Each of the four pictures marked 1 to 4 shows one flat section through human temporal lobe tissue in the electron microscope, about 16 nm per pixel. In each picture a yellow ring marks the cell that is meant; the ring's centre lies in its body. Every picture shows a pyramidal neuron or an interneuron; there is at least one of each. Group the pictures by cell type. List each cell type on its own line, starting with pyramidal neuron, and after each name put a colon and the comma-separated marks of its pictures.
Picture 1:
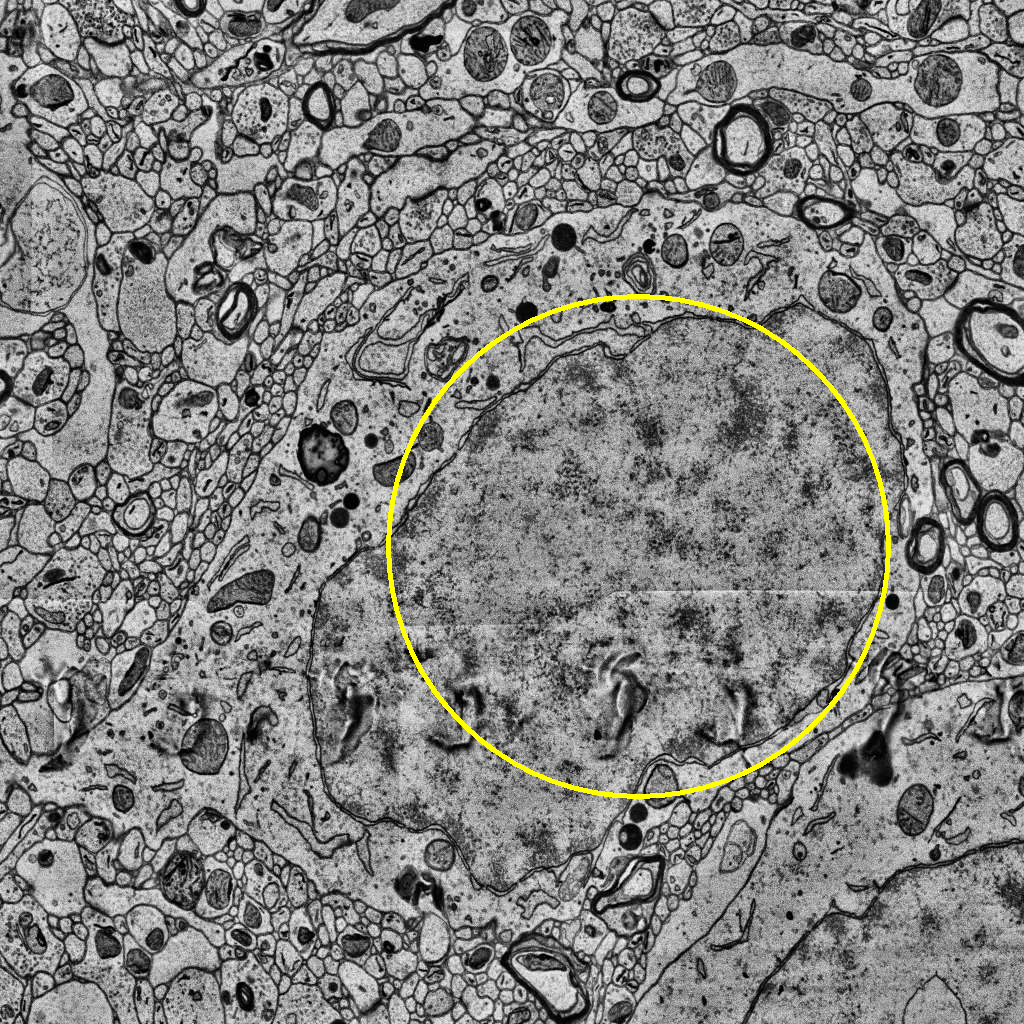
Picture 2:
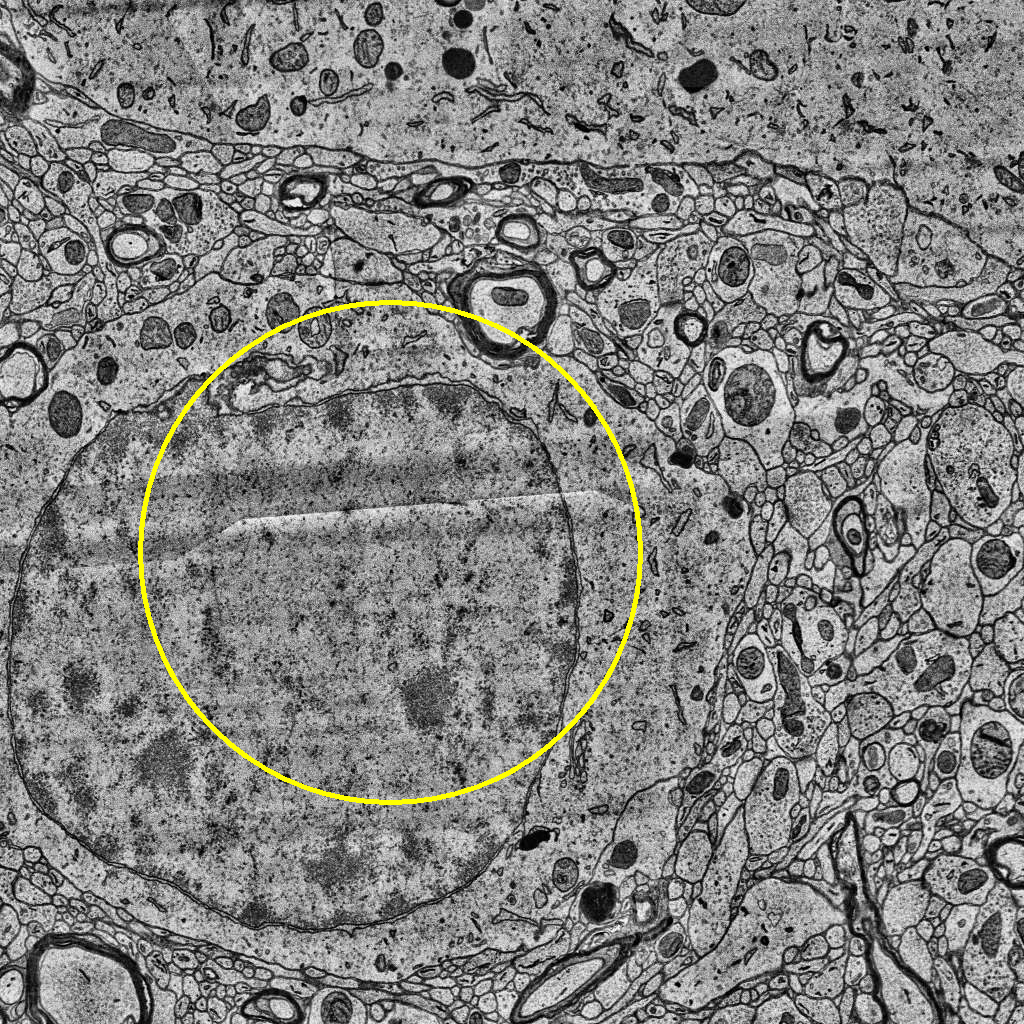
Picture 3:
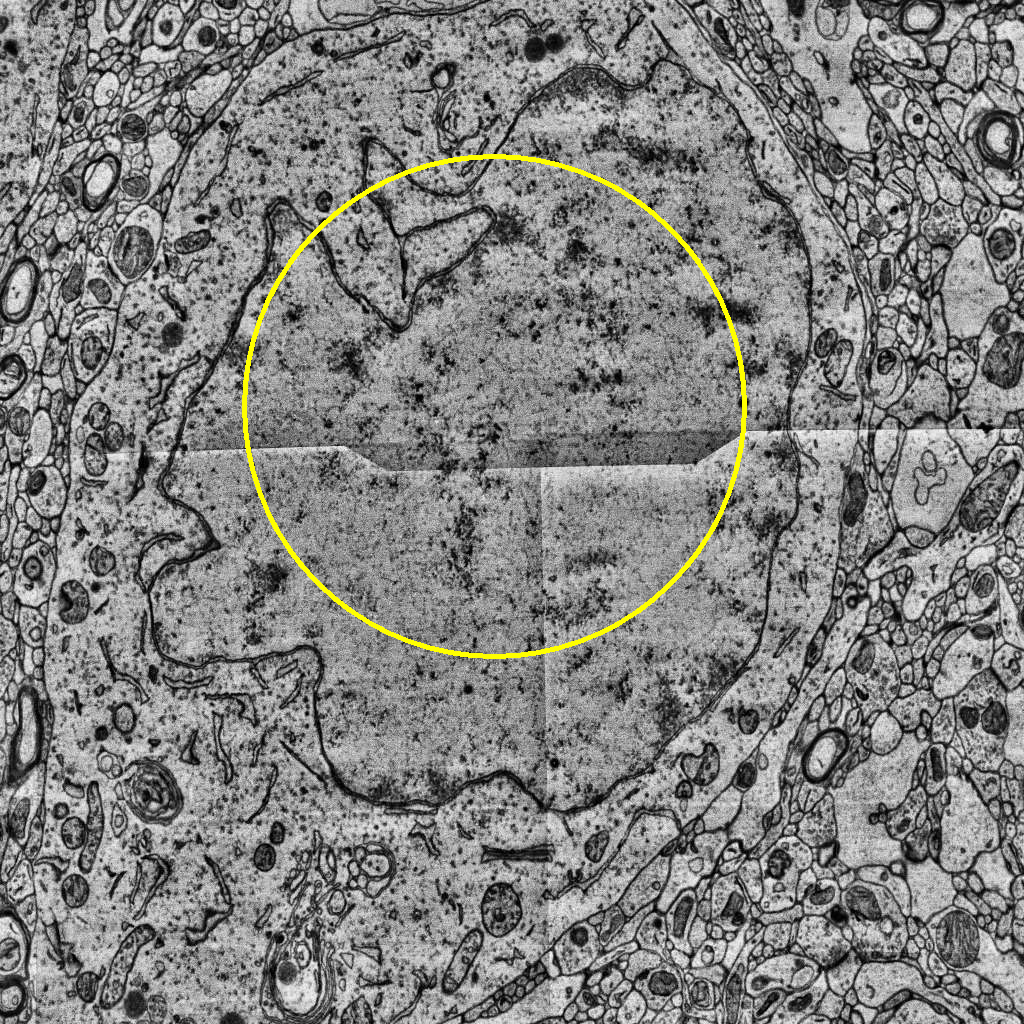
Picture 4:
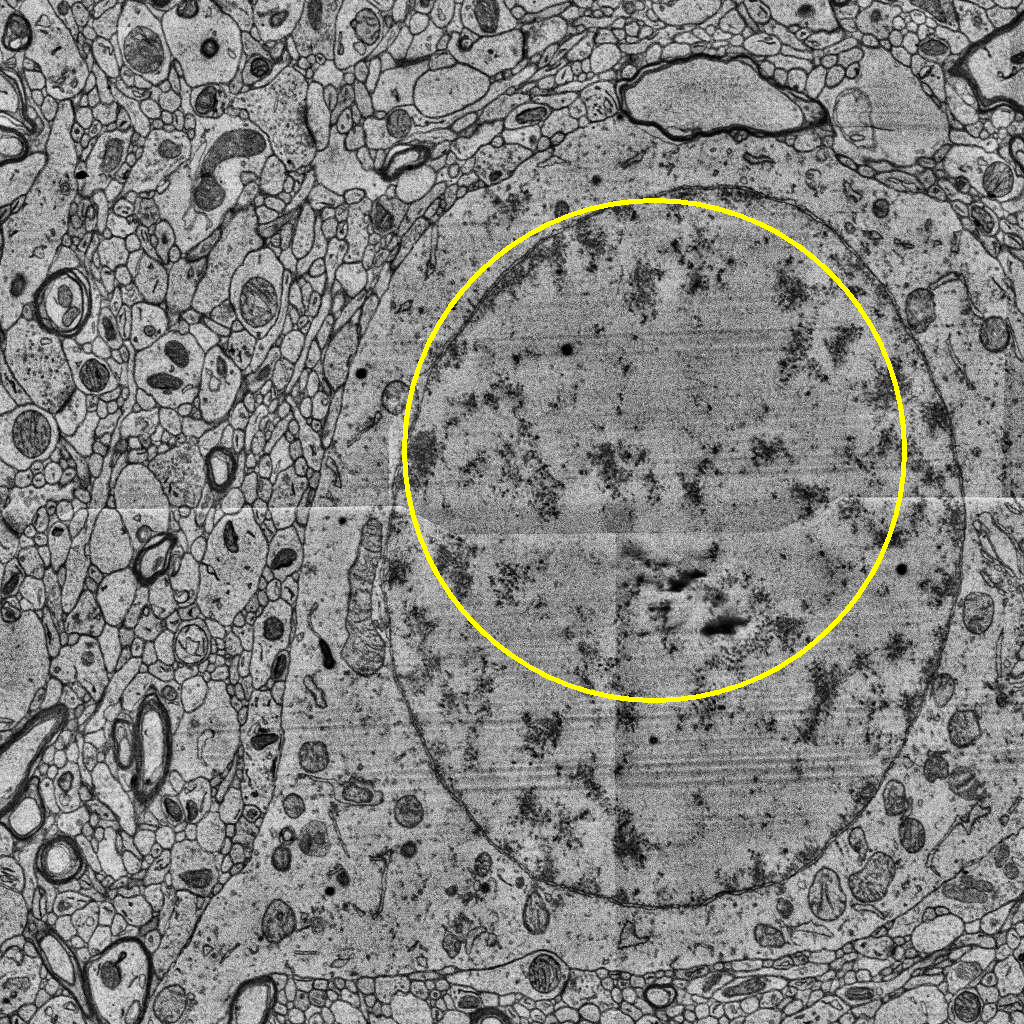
pyramidal neuron: 4
interneuron: 1, 2, 3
